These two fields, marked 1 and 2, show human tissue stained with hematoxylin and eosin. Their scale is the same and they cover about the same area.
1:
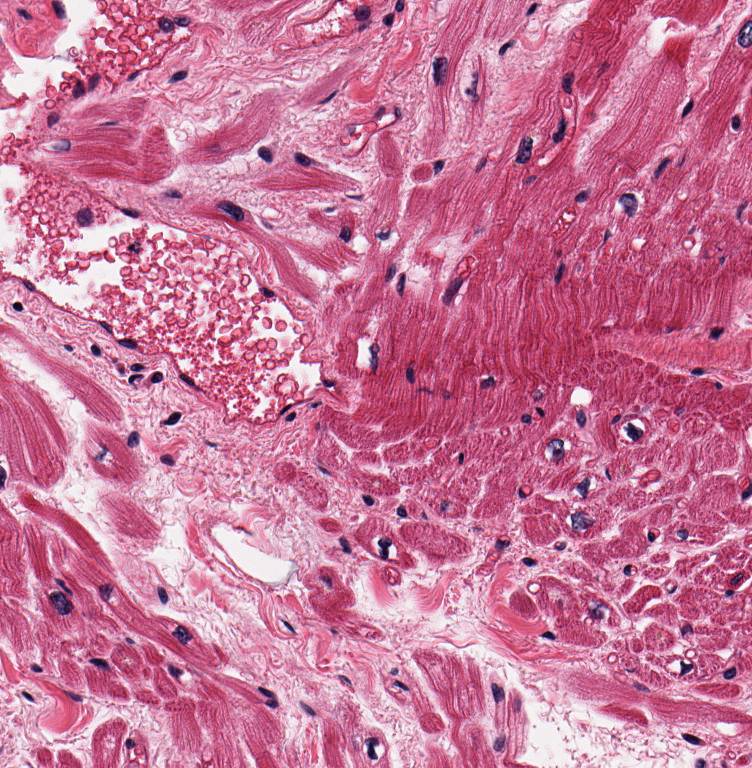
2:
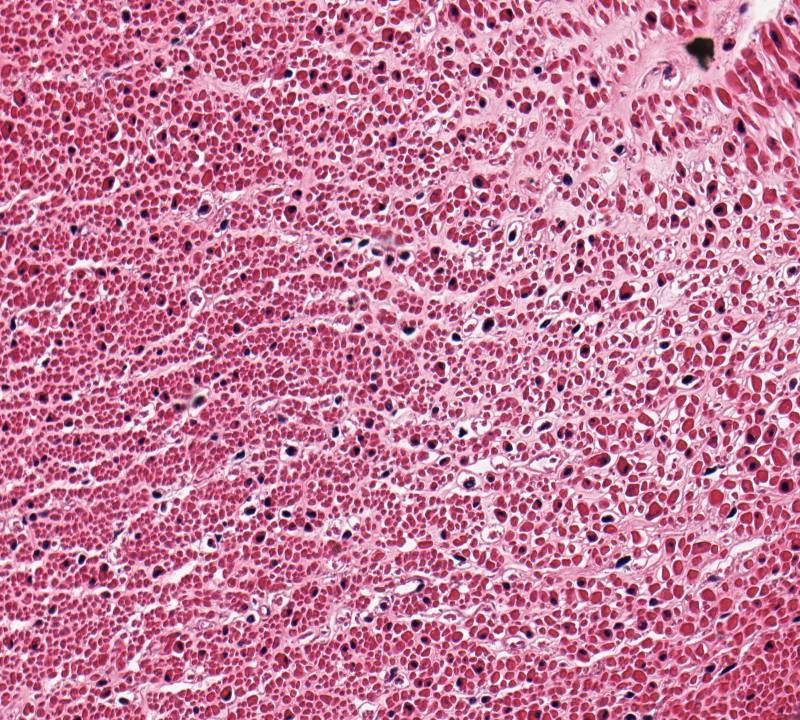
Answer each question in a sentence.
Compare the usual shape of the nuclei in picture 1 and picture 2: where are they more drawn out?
On the whole the nuclei of picture 1 are more drawn out than those of picture 2.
